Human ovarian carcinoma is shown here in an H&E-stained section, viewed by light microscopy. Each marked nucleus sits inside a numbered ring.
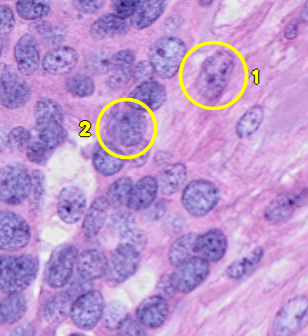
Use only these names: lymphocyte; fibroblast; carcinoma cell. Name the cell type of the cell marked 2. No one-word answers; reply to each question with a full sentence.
Cell 2, among those numbered, is a carcinoma cell.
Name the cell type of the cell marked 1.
Cell 1 in the field of view is a fibroblast.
